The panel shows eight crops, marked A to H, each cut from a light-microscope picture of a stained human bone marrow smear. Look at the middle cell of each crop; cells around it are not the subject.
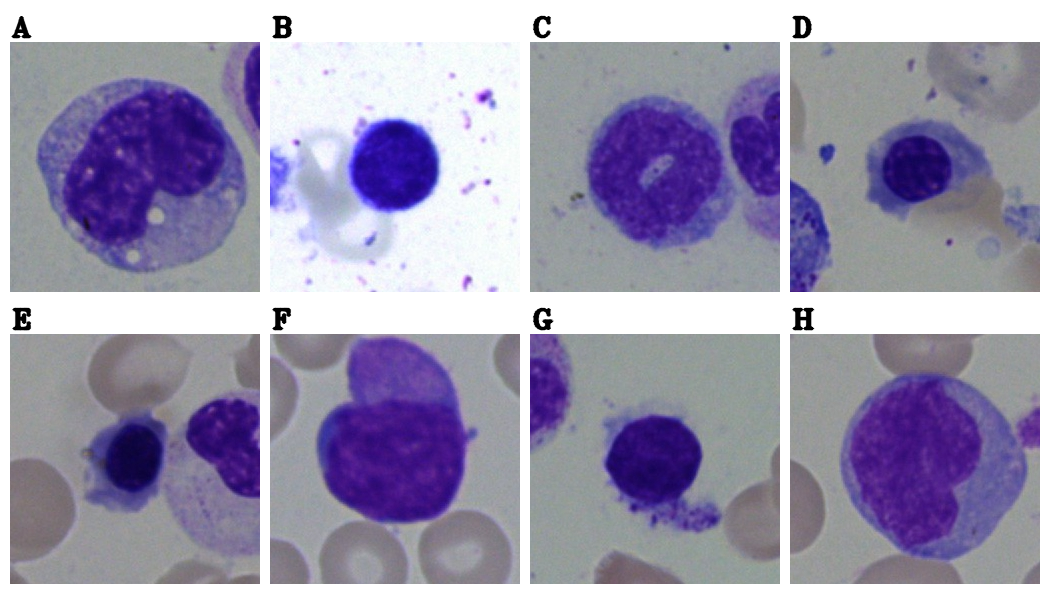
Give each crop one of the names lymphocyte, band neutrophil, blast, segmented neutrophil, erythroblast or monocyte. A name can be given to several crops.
A: monocyte
B: lymphocyte
C: monocyte
D: erythroblast
E: erythroblast
F: blast
G: lymphocyte
H: monocyte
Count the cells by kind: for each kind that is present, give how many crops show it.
monocyte: 3
lymphocyte: 2
erythroblast: 2
blast: 1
